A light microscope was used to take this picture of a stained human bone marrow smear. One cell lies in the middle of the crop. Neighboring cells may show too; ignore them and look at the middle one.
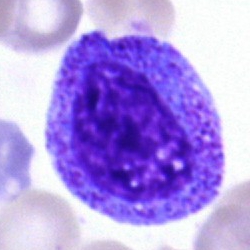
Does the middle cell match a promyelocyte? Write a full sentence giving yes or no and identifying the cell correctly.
Yes, centred in the crop is a promyelocyte.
